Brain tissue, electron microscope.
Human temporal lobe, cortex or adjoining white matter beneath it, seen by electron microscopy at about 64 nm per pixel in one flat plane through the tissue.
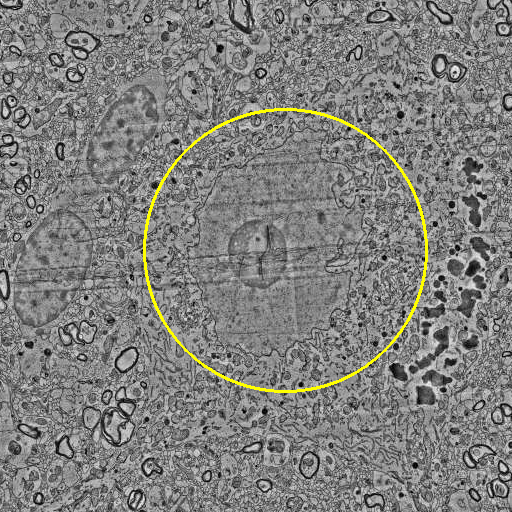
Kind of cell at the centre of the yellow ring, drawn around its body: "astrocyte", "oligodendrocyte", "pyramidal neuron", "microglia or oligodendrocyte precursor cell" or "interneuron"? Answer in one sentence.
The ring's centre falls on a pyramidal neuron.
